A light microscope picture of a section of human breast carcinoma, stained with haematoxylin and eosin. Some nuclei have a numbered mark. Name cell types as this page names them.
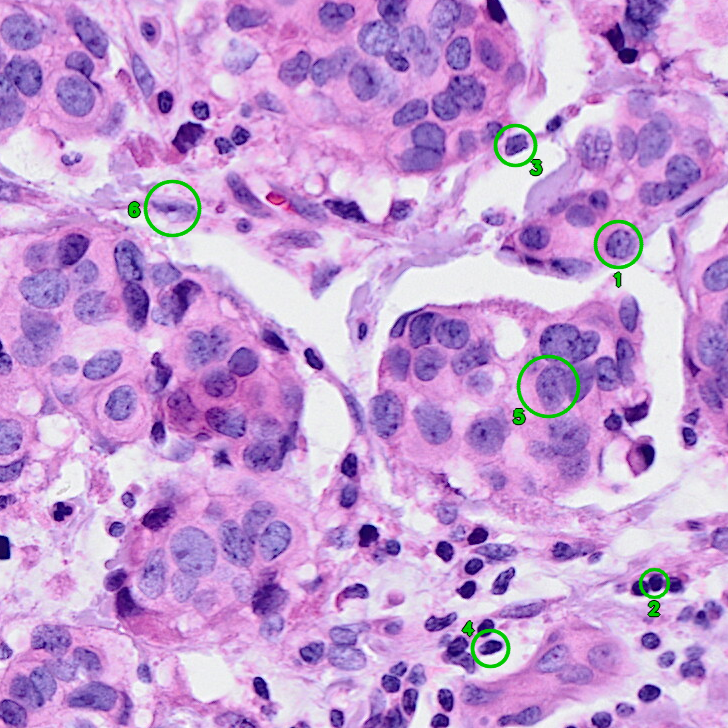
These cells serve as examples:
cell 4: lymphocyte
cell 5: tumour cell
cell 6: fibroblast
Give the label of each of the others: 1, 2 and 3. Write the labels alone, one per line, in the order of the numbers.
tumour cell
lymphocyte
lymphocyte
